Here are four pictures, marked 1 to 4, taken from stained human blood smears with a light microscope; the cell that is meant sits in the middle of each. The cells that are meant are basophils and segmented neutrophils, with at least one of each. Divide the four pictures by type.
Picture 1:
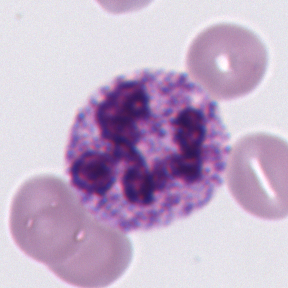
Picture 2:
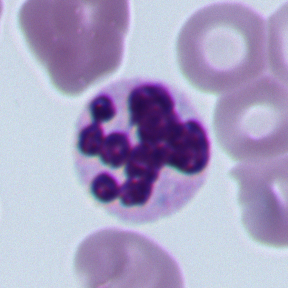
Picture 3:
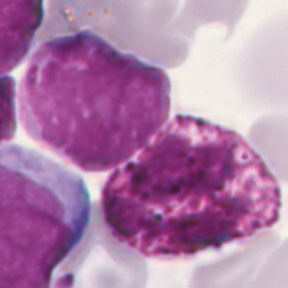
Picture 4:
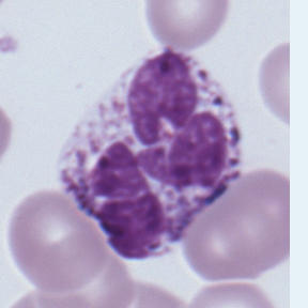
1: segmented neutrophil
2: segmented neutrophil
3: basophil
4: basophil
